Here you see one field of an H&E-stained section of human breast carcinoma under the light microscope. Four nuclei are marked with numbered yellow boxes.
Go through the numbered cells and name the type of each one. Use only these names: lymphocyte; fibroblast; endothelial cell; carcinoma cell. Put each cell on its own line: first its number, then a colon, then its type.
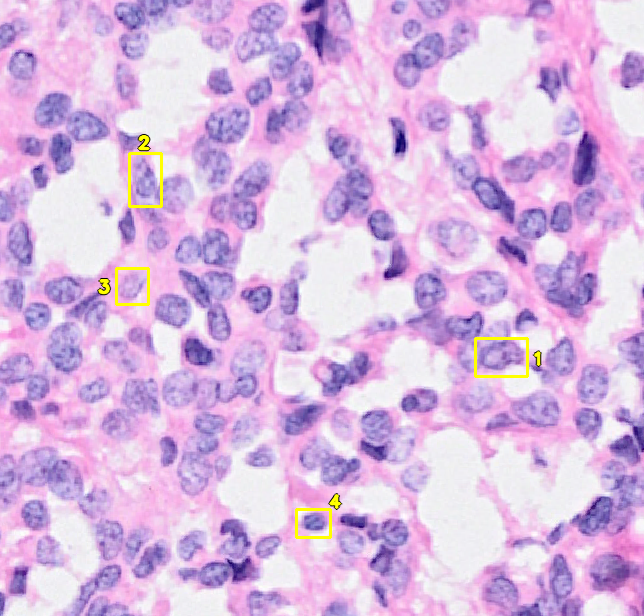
1: carcinoma cell
2: carcinoma cell
3: carcinoma cell
4: lymphocyte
